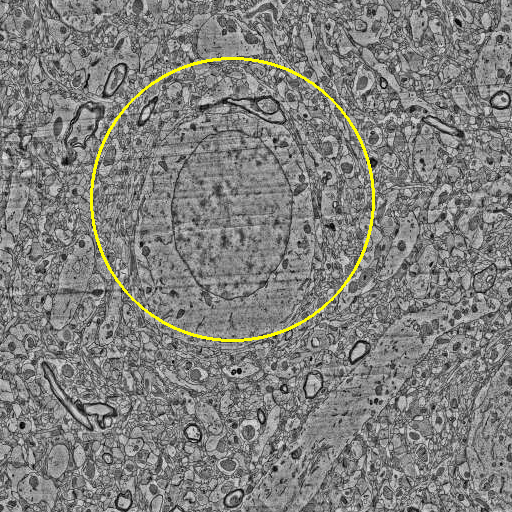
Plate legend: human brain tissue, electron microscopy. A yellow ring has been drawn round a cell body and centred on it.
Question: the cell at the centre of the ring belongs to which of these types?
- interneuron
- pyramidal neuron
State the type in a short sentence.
The cell in the middle of the ring is a pyramidal neuron.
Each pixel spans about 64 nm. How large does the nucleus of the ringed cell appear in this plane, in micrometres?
Approximately 11 micrometres long and 8 micrometres wide, in this plane.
